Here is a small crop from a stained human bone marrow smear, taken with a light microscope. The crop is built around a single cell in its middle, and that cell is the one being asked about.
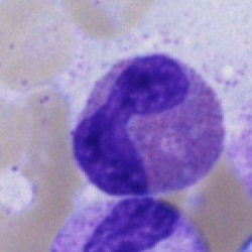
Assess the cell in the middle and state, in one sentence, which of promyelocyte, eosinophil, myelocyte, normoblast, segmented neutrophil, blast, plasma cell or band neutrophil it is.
For this crop, the cell in the middle is an eosinophil.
